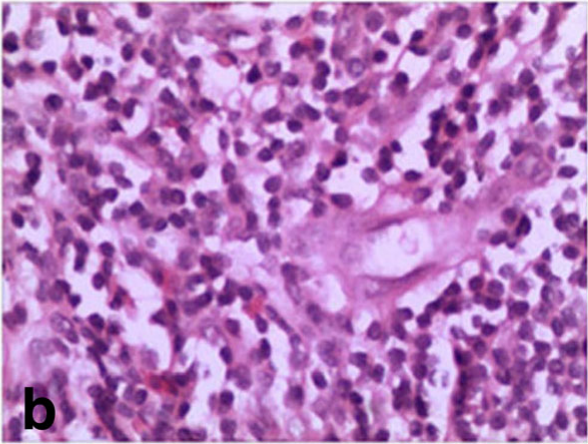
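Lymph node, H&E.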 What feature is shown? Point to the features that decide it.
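Hyaline center. A central band of glassy, homogeneous pink material. Small round dark-nucleated cells surround this pink center. A small lumen-like space lies within the pink material.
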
